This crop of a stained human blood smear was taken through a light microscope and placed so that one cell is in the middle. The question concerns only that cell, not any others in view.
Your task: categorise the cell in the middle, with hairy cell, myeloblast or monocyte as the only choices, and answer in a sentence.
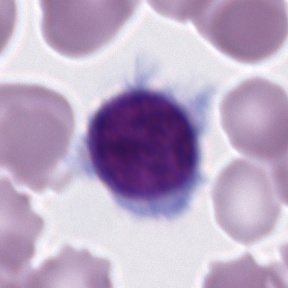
By type, the central cell of the crop is a hairy cell.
